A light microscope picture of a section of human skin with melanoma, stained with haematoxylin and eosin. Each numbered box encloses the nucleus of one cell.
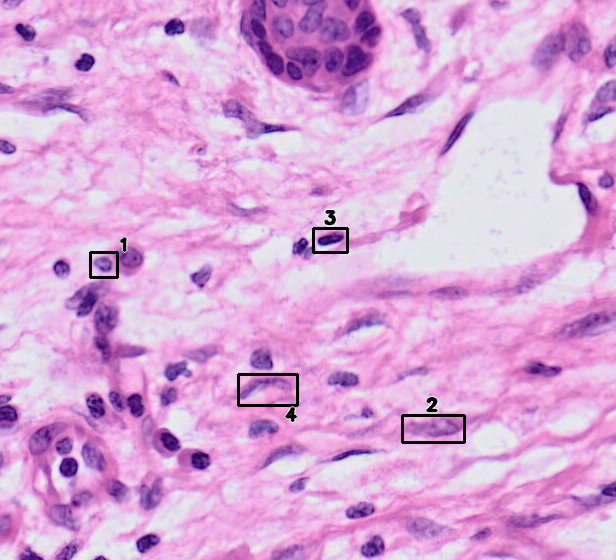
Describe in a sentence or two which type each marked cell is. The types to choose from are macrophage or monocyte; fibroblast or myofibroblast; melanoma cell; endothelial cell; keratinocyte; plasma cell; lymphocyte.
Cell 1 is a lymphocyte, cell 2 is a fibroblast or myofibroblast, cell 3 is a lymphocyte and cell 4 is a fibroblast or myofibroblast.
